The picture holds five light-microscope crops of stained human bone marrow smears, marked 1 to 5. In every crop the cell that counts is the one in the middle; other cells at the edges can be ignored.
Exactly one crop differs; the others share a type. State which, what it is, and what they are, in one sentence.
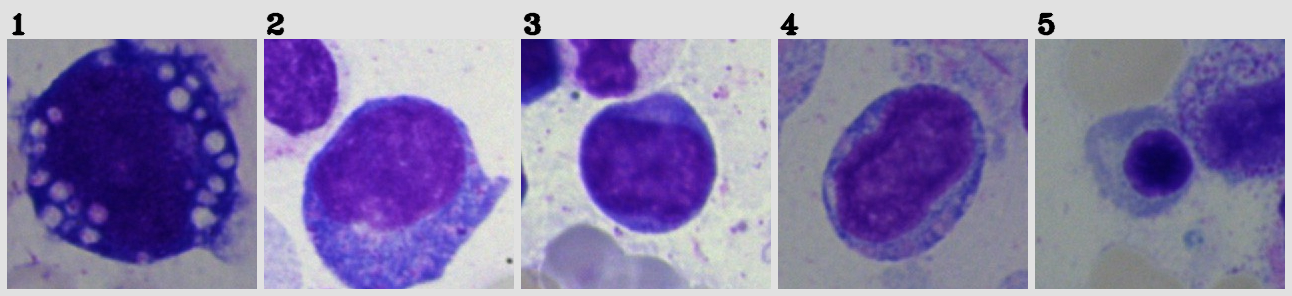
Crop 5 is an erythroblast, the one exception to the blasts of the other crops.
